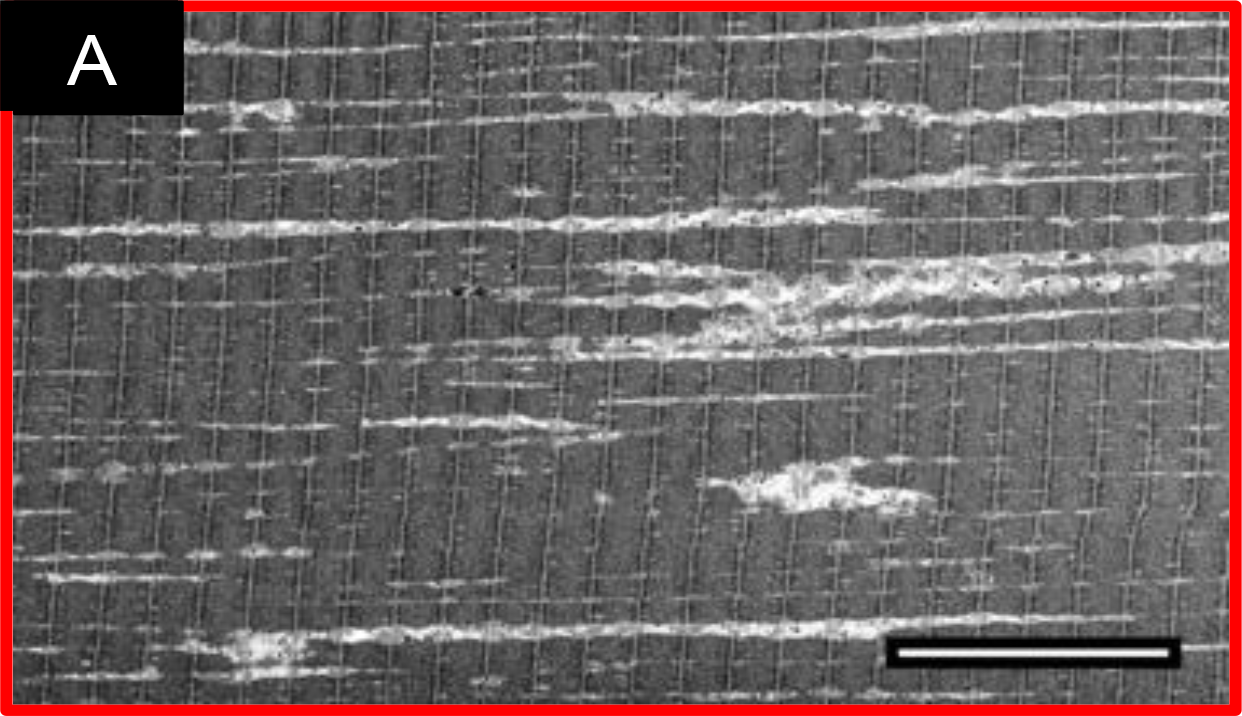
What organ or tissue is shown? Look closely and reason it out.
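Muscle fiber. Thin transverse lines repeat at regular intervals across the whole field. Long parallel grey bands run the length of the image, separated by bright strips.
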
